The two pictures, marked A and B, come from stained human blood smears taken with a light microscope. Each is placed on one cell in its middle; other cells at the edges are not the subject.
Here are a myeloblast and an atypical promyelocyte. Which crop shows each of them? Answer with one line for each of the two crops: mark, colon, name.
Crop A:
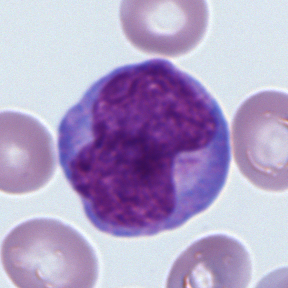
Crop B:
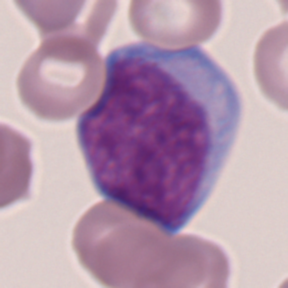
A: atypical promyelocyte
B: myeloblast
